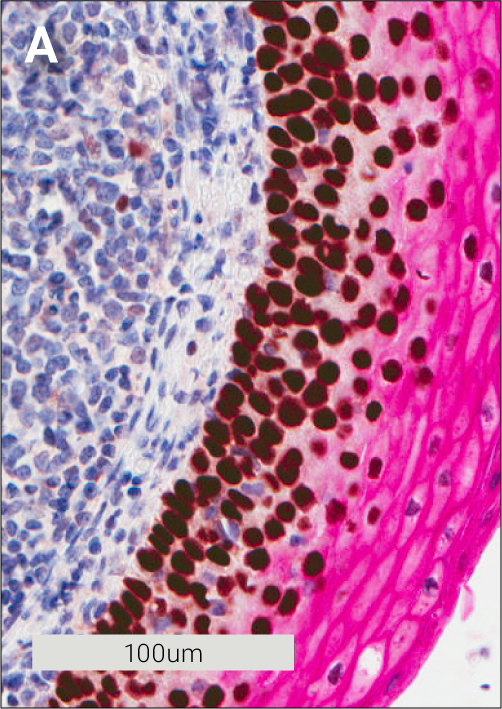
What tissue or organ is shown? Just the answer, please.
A: tonsil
